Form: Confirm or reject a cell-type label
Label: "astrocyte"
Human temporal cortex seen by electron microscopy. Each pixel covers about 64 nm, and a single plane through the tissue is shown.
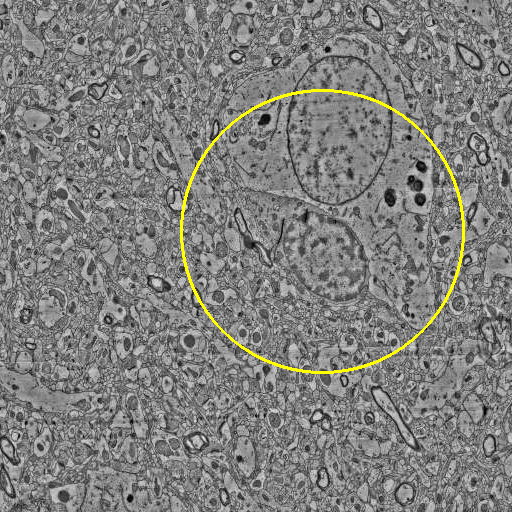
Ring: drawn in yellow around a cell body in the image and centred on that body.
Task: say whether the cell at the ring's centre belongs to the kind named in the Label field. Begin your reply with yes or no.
No, it belongs to another kind.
